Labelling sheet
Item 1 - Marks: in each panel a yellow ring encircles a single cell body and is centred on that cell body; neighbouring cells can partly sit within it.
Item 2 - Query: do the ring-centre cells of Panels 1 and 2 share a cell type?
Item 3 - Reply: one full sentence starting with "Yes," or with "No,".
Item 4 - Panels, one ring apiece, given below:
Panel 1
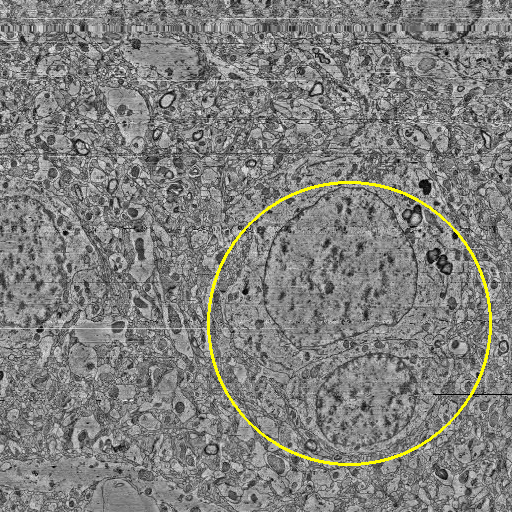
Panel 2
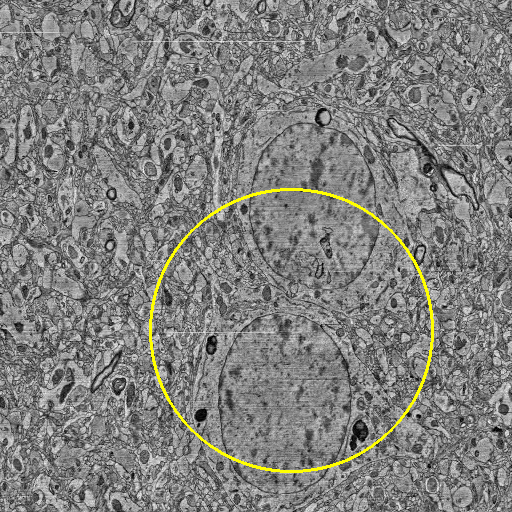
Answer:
Yes, Panel 1 and Panel 2 show one cell type at the centres of their rings.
